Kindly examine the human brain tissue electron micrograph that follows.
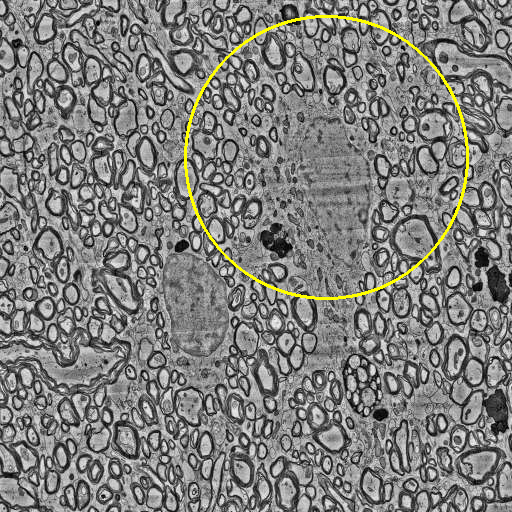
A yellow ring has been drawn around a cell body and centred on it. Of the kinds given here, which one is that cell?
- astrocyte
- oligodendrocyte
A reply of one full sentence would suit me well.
The micrograph's ringed cell, the one at the ring's centre, is an astrocyte.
